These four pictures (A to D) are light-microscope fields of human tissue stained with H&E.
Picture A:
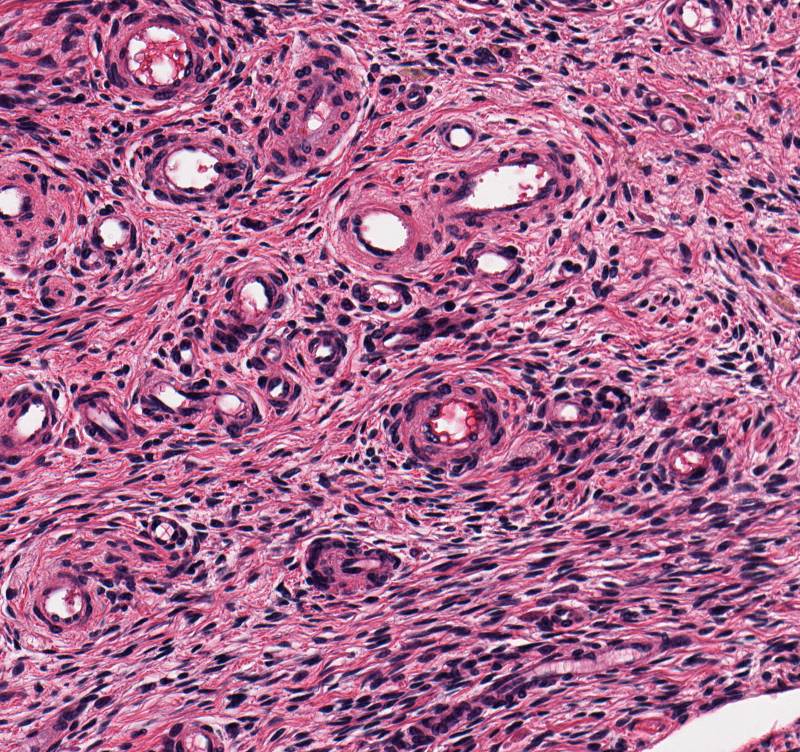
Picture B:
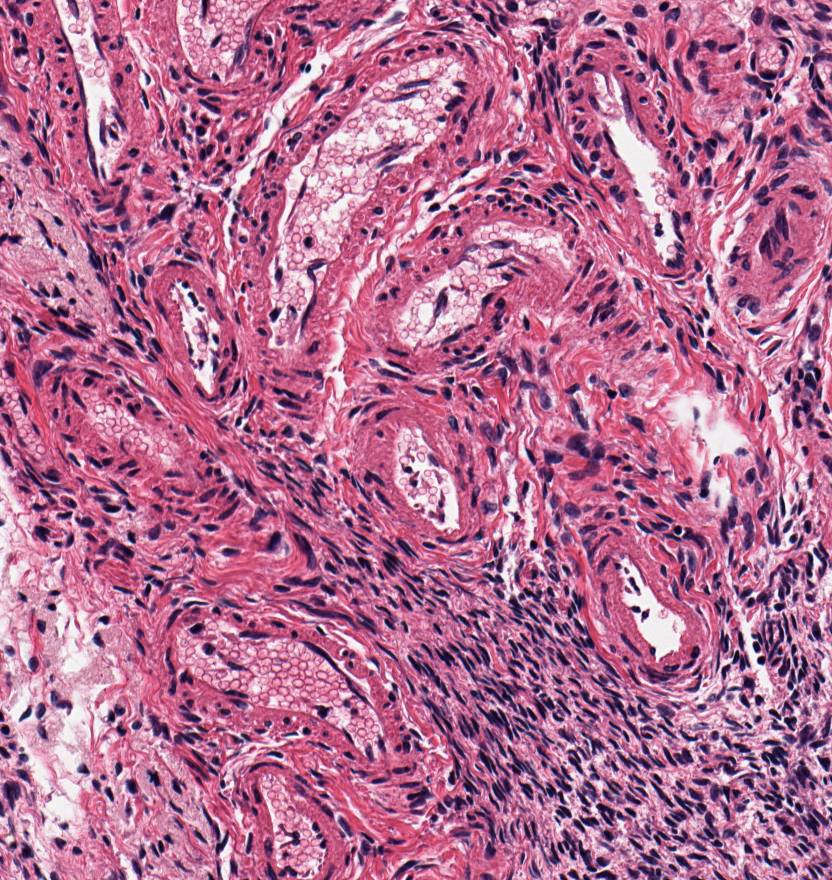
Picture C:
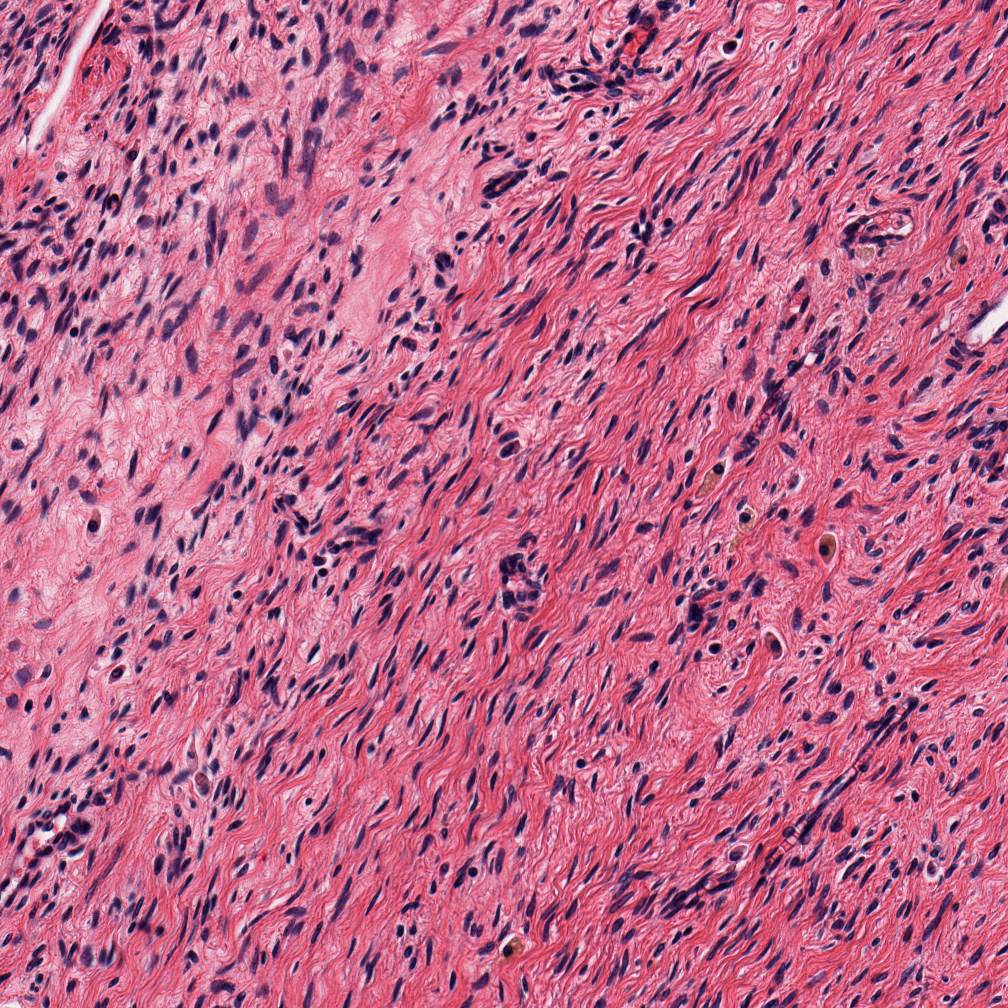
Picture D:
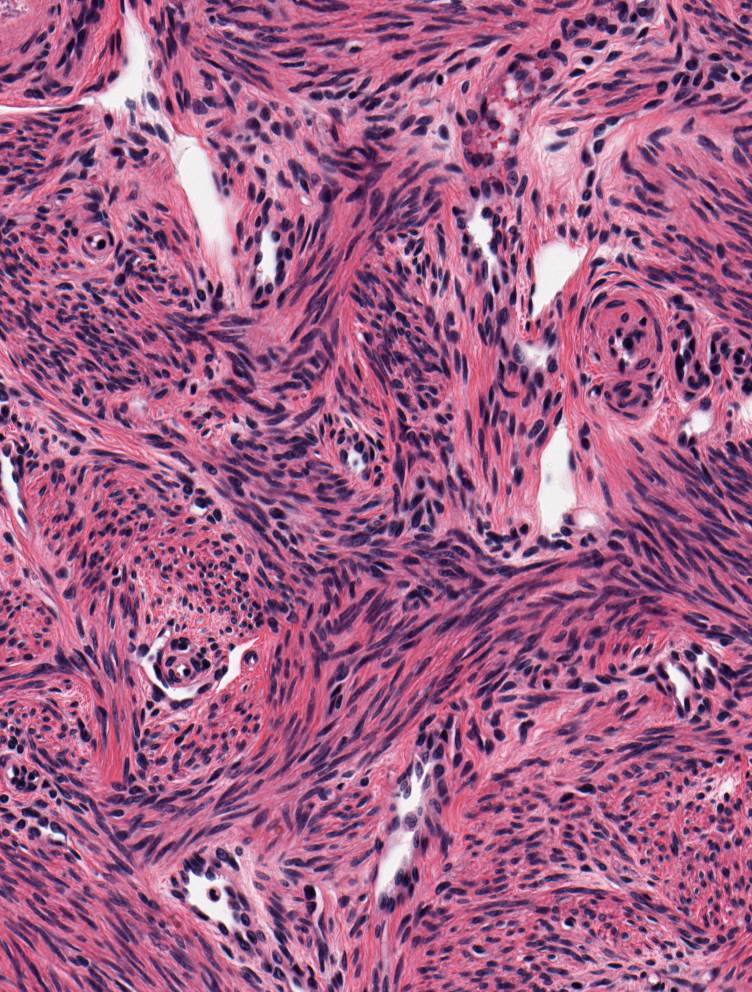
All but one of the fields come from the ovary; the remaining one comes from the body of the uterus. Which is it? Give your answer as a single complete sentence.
The one that comes from the body of the uterus is picture D.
